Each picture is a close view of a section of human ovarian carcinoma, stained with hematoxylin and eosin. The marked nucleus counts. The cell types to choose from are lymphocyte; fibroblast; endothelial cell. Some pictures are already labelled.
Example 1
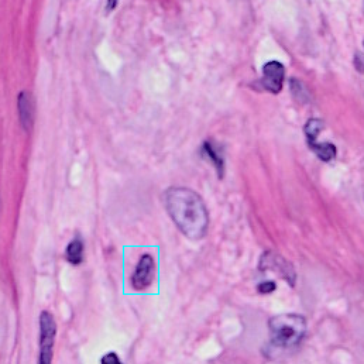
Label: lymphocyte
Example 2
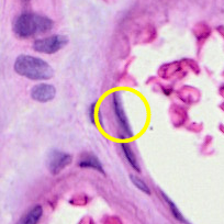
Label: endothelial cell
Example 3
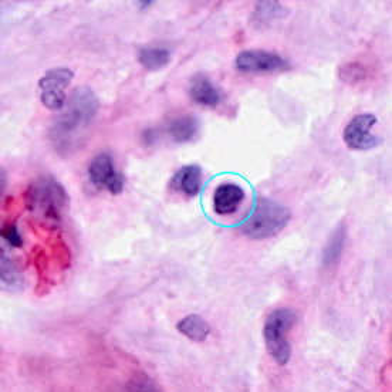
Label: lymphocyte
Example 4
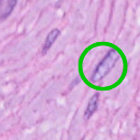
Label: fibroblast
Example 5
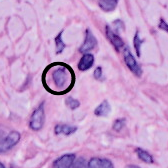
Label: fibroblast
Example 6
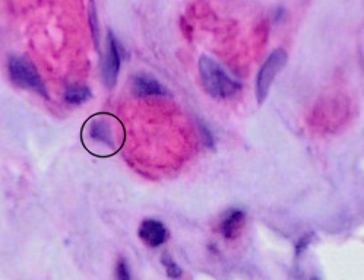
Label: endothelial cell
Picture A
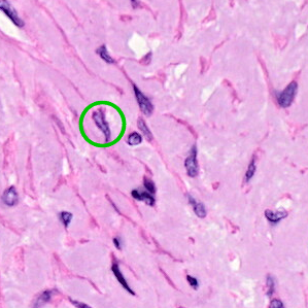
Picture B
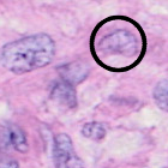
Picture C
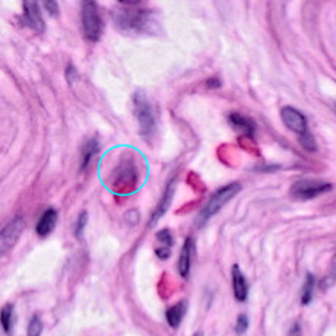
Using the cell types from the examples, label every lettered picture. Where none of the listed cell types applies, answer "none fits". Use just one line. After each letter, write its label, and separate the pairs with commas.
A fibroblast, B fibroblast, C endothelial cell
